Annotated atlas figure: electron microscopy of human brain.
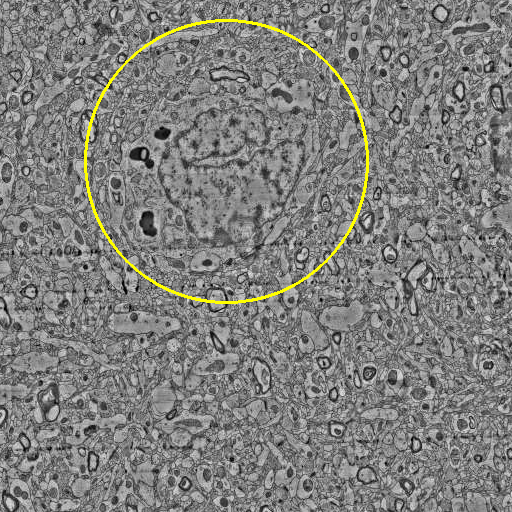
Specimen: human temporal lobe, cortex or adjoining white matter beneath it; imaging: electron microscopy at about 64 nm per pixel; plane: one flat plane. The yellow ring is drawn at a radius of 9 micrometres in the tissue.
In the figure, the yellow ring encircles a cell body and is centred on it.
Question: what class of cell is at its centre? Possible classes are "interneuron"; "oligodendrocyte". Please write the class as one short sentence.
The yellow ring is drawn around an interneuron.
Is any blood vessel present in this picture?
No, none shows.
